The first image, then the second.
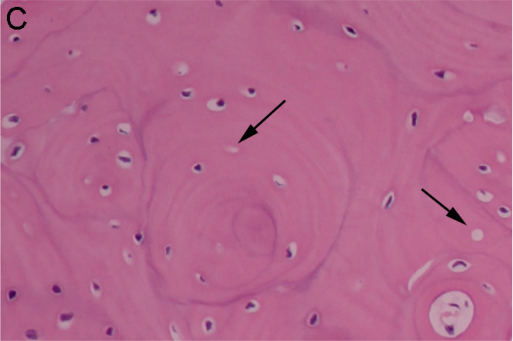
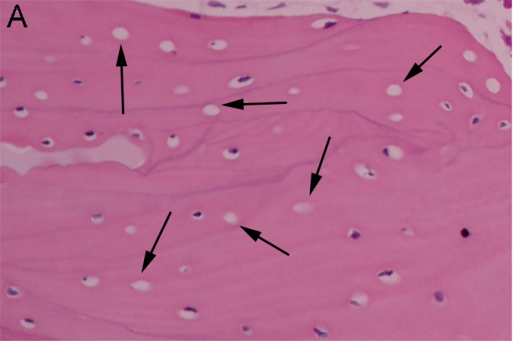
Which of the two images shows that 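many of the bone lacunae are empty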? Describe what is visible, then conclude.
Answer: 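The second image. First image: most lacunae in the bone matrix contain a dark purple nucleus, only a few are empty.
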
